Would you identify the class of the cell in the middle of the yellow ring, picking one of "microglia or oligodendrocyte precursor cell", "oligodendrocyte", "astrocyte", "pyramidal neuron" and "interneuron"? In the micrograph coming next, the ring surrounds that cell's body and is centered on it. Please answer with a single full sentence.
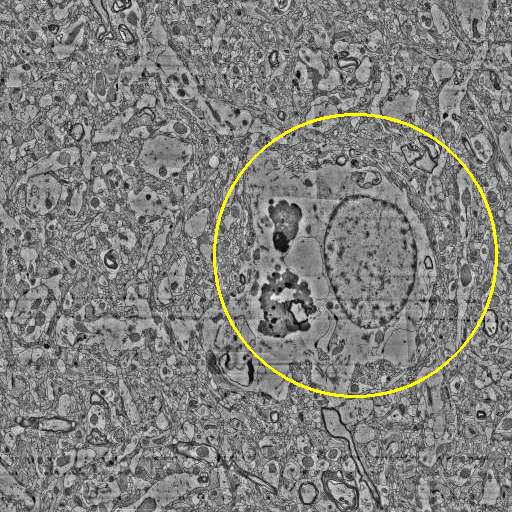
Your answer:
In the micrograph, it is an astrocyte whose body lies at the ring's center.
